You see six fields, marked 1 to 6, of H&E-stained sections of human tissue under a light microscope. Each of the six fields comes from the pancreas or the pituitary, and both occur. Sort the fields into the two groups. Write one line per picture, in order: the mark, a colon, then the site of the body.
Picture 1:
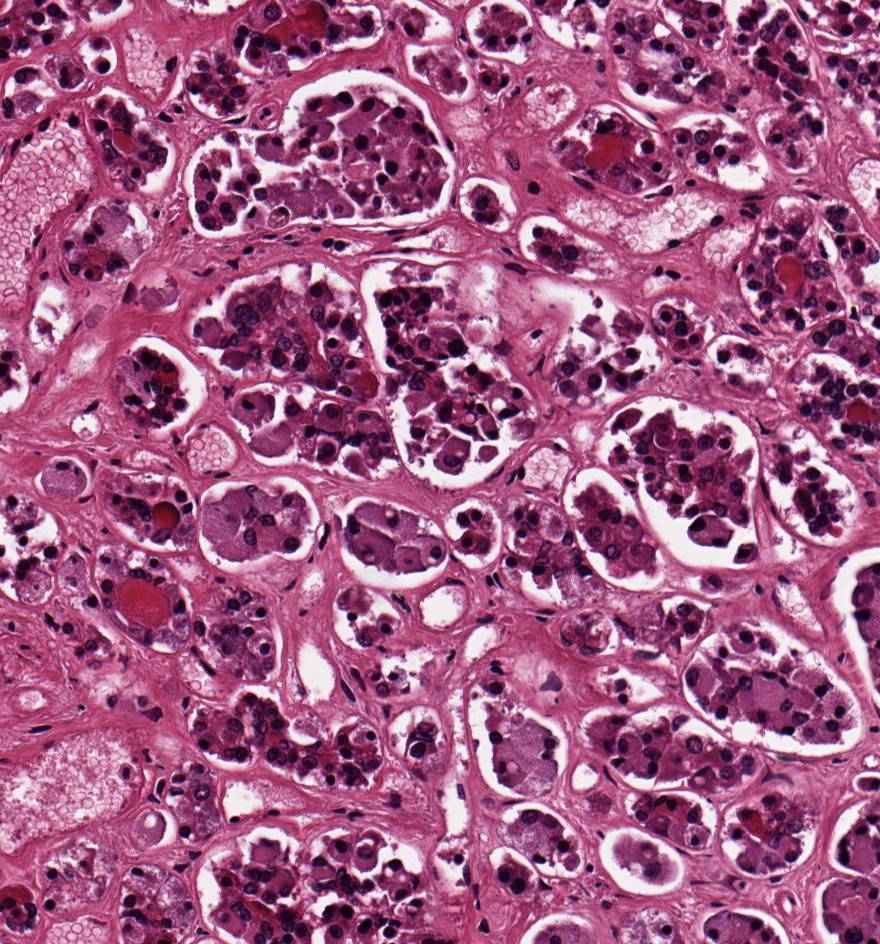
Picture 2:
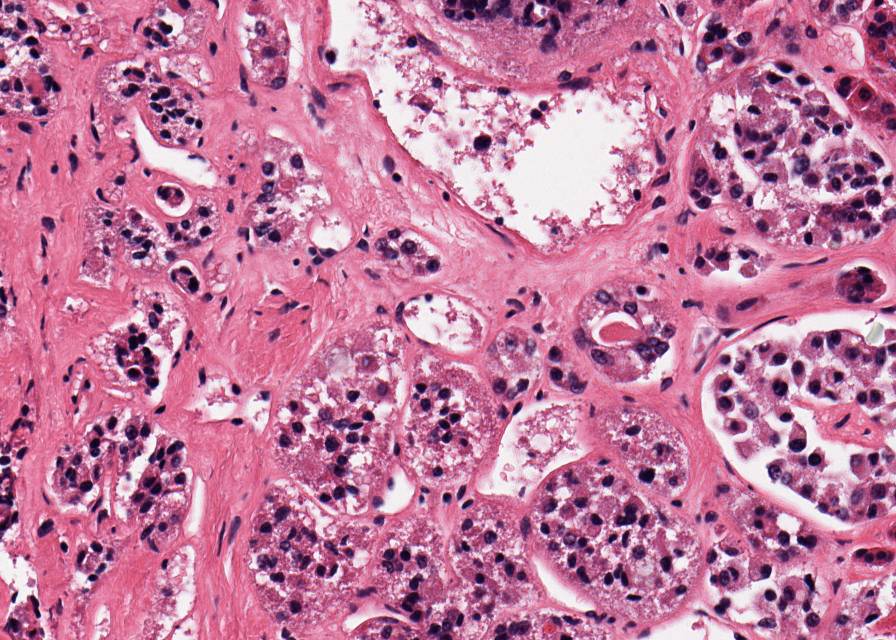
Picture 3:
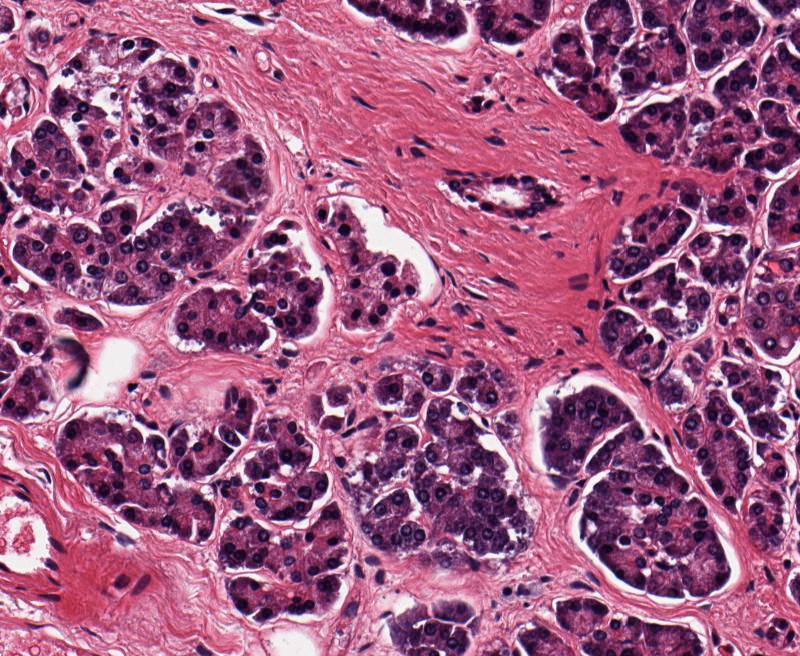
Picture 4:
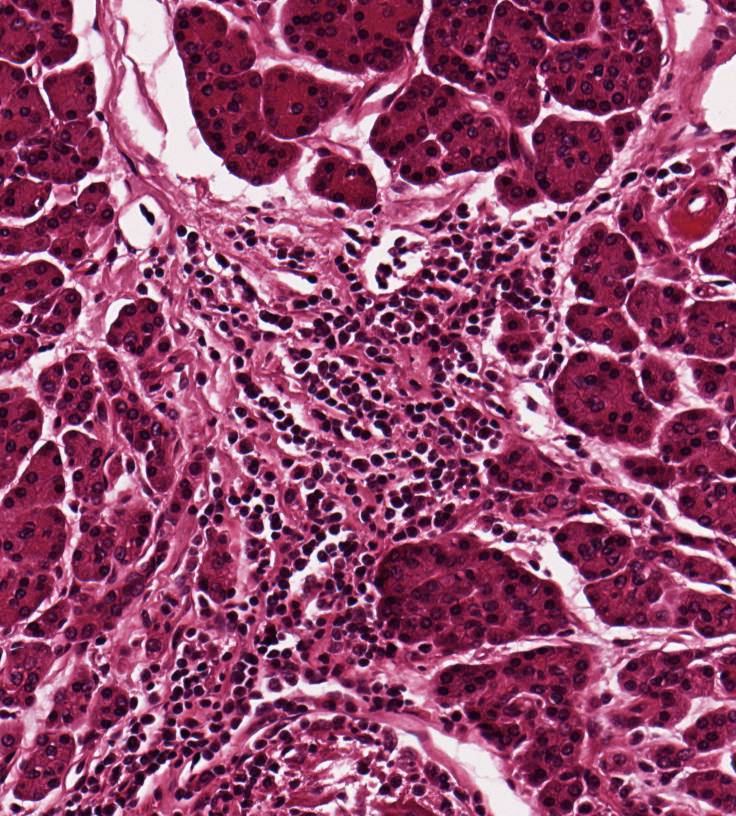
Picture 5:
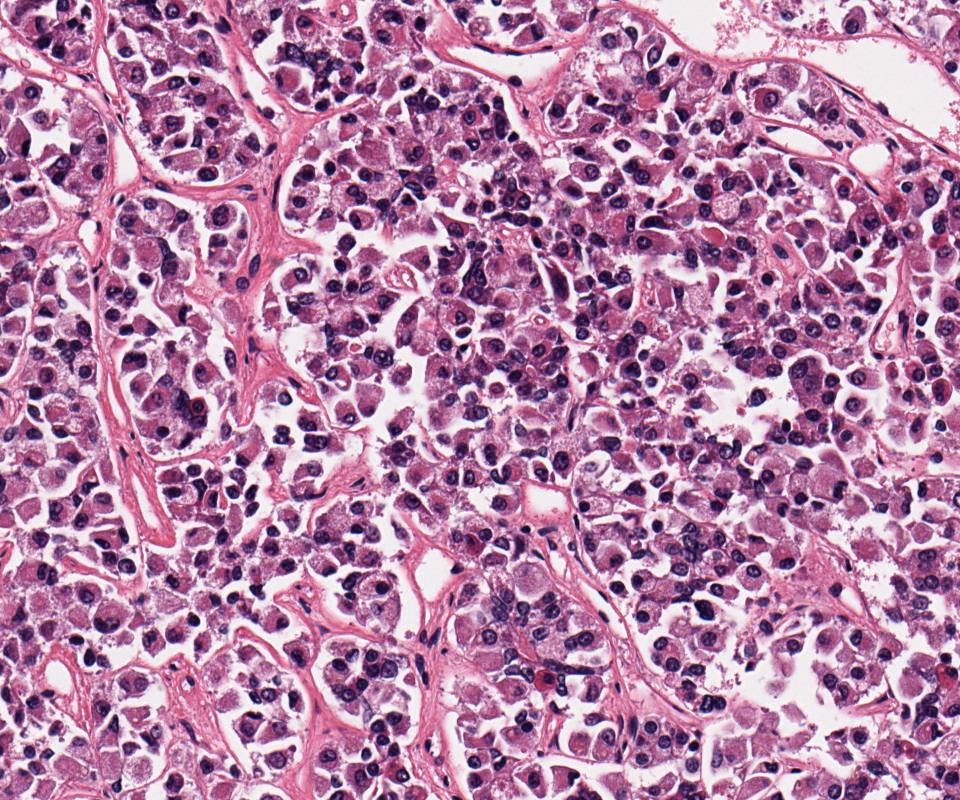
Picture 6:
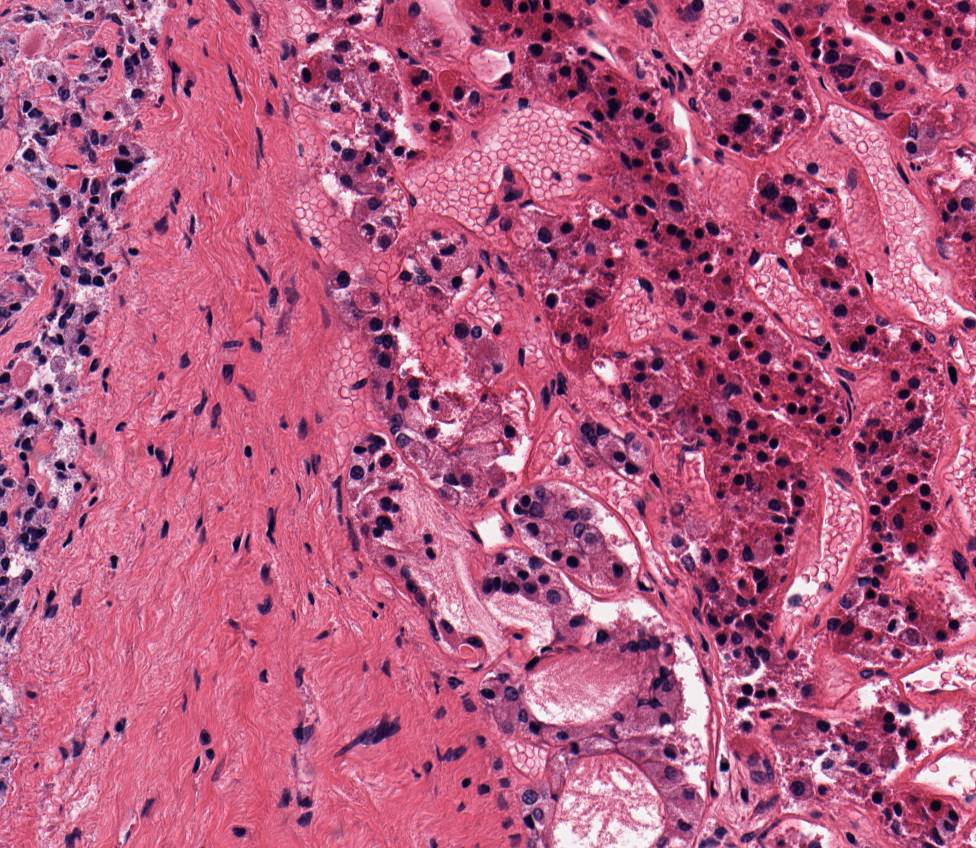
1: pituitary
2: pituitary
3: pancreas
4: pancreas
5: pituitary
6: pituitary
